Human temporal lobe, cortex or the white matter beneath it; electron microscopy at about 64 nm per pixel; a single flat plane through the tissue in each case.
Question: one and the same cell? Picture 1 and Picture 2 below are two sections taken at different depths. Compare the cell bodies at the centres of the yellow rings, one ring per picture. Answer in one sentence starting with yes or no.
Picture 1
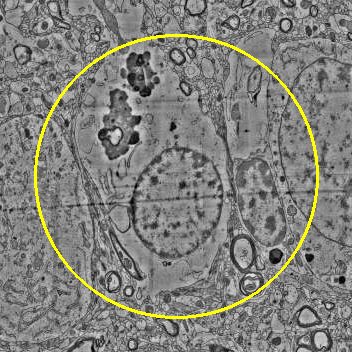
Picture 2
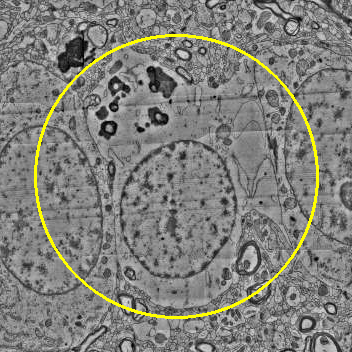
Yes, the marked cell is the same in both rings.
